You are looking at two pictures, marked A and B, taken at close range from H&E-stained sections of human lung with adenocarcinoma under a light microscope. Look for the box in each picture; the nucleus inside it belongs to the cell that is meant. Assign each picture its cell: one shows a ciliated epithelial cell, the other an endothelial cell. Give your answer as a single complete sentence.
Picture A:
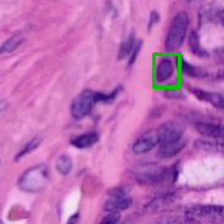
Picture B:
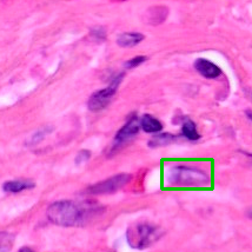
It is picture A that shows a ciliated epithelial cell, and picture B that shows an endothelial cell.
